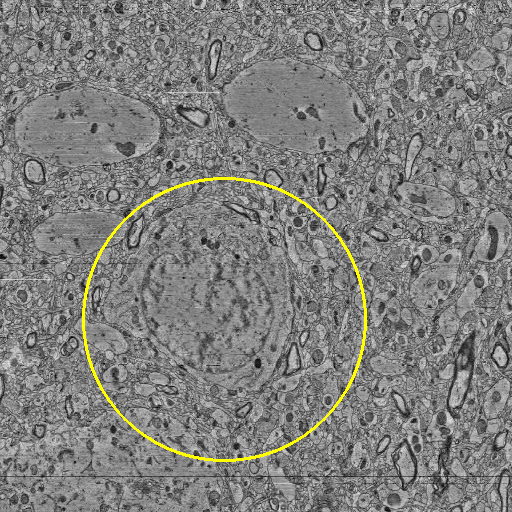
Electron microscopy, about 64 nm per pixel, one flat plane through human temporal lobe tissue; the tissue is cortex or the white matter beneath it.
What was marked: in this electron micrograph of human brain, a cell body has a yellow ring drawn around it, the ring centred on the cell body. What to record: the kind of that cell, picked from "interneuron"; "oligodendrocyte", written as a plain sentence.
The centred cell is an interneuron.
